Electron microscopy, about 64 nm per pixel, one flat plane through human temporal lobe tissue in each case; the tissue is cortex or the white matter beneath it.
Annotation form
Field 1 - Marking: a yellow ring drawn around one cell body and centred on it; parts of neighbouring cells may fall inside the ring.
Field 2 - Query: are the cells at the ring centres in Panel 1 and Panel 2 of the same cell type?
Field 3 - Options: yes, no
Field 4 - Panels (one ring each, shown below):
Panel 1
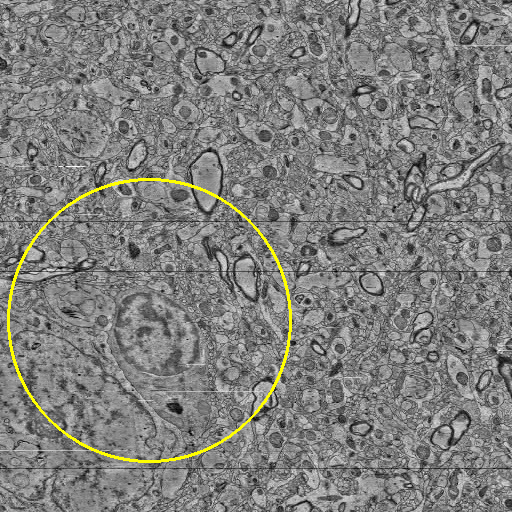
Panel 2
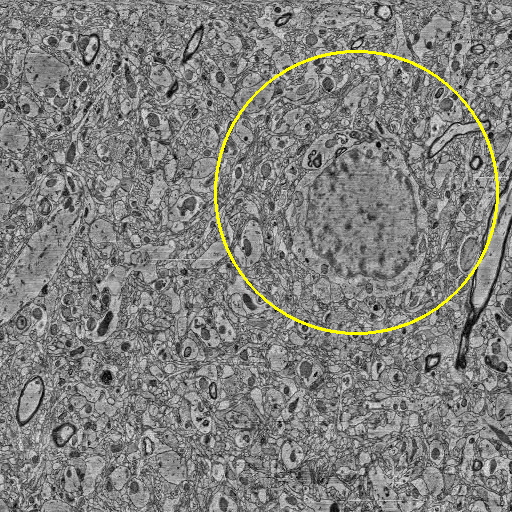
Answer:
no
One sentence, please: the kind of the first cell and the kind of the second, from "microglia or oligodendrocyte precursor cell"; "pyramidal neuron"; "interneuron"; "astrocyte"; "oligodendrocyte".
The ring in the first picture surrounds an oligodendrocyte, and the ring in the second surrounds an interneuron.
